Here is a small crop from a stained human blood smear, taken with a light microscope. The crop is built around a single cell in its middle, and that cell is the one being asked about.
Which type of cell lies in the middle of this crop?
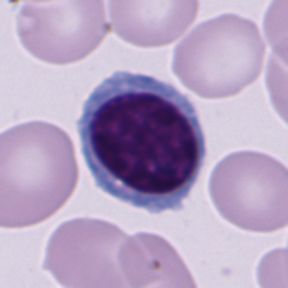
typical lymphocyte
